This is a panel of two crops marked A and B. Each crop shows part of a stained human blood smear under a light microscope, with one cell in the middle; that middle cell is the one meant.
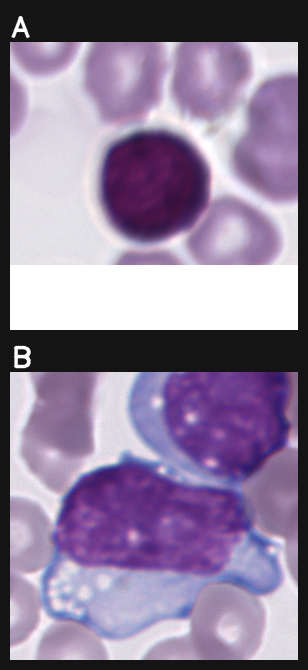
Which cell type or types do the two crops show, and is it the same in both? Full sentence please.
Yes, both crops have myeloblasts as their central cells.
